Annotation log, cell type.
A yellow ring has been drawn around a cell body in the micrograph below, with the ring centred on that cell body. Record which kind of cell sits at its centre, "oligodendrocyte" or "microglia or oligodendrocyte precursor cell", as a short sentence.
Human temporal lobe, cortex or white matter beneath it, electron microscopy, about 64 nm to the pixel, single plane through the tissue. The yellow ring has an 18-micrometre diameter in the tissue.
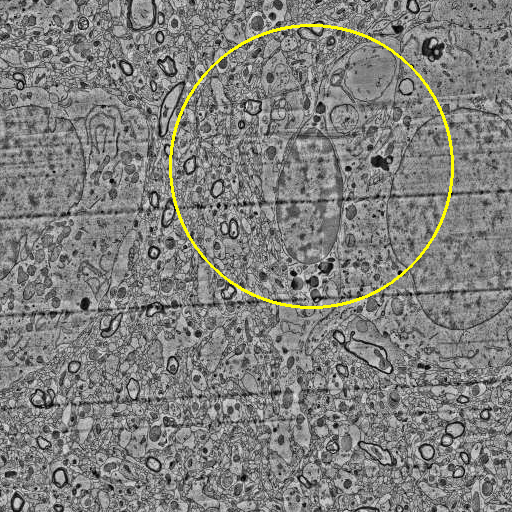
The cell at the centre of this ring is a microglial cell or oligodendrocyte precursor cell.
